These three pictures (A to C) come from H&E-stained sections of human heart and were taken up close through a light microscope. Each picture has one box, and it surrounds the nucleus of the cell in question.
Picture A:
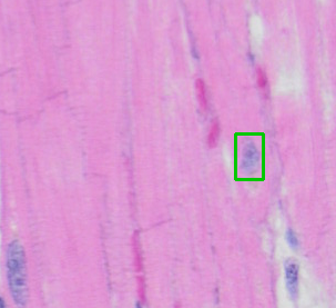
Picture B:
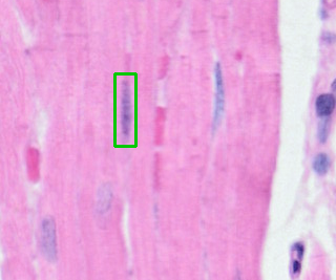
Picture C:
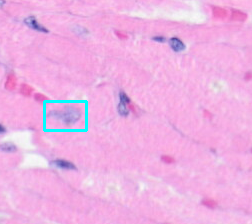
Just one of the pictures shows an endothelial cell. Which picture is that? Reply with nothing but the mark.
B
